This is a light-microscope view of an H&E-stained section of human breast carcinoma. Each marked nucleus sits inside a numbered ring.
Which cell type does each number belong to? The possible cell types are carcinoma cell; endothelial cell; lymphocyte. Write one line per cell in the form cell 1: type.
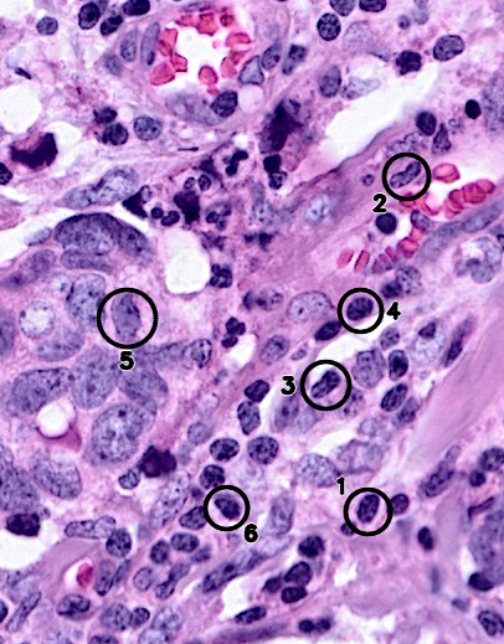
cell 1: lymphocyte
cell 2: endothelial cell
cell 3: lymphocyte
cell 4: lymphocyte
cell 5: carcinoma cell
cell 6: lymphocyte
